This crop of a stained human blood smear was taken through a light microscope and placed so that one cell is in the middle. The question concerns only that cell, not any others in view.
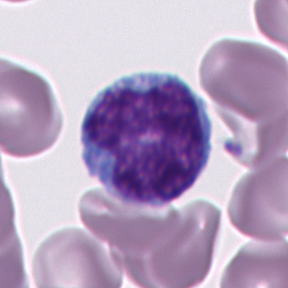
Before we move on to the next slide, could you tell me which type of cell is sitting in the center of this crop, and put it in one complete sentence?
The central cell, amid any neighbouring cells, is a monocyte.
